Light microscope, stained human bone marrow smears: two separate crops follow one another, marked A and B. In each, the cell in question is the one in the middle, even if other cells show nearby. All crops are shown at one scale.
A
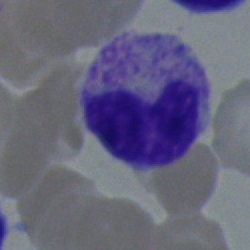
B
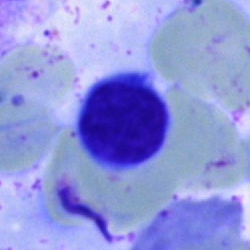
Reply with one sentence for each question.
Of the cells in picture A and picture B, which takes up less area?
Smaller is the cell in picture B, and the other is about 2 times as large in area.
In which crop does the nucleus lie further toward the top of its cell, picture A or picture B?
In picture B the nucleus is shifted more toward the top.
